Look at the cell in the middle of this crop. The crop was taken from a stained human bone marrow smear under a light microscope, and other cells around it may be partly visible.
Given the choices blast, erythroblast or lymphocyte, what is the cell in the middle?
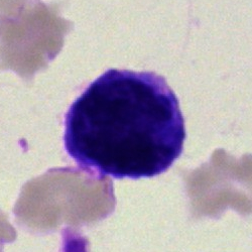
blast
